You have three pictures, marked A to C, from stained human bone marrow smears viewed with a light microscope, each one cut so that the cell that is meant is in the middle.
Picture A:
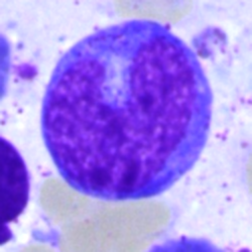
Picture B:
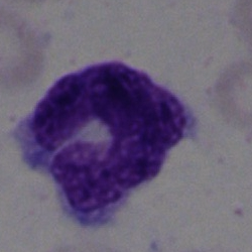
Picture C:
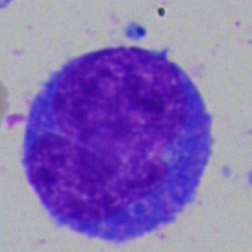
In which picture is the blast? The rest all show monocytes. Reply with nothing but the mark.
C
